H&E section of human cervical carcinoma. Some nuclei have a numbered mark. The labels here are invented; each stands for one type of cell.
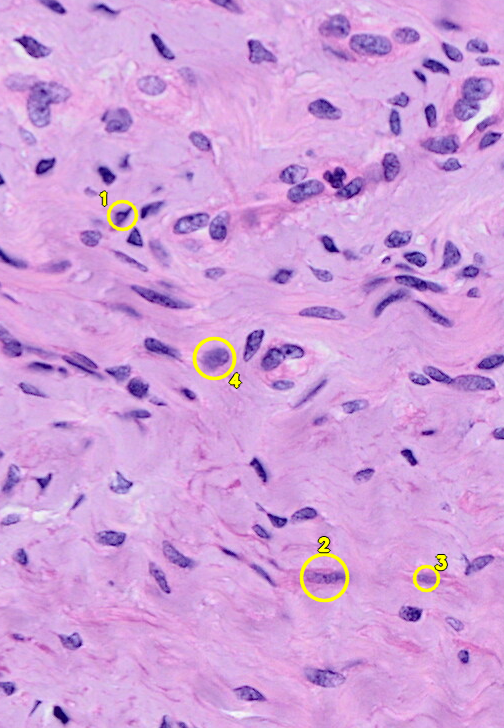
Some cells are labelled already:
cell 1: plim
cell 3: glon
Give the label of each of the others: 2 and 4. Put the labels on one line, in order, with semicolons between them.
glon; plim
